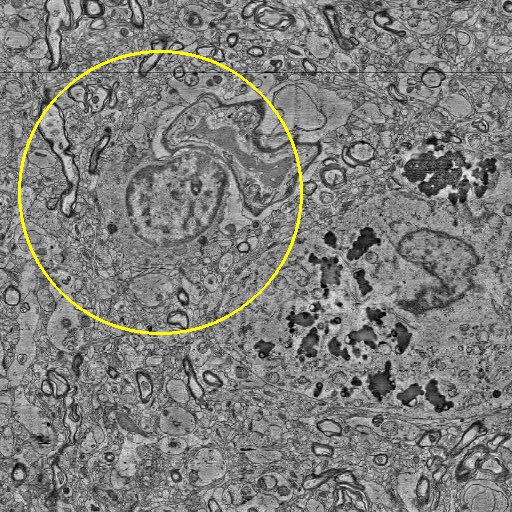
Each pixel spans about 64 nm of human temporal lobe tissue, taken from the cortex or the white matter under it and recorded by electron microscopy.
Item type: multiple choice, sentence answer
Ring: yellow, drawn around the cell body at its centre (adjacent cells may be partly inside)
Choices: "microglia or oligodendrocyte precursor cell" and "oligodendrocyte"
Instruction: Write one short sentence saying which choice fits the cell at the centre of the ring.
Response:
This ring is drawn around an oligodendrocyte.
